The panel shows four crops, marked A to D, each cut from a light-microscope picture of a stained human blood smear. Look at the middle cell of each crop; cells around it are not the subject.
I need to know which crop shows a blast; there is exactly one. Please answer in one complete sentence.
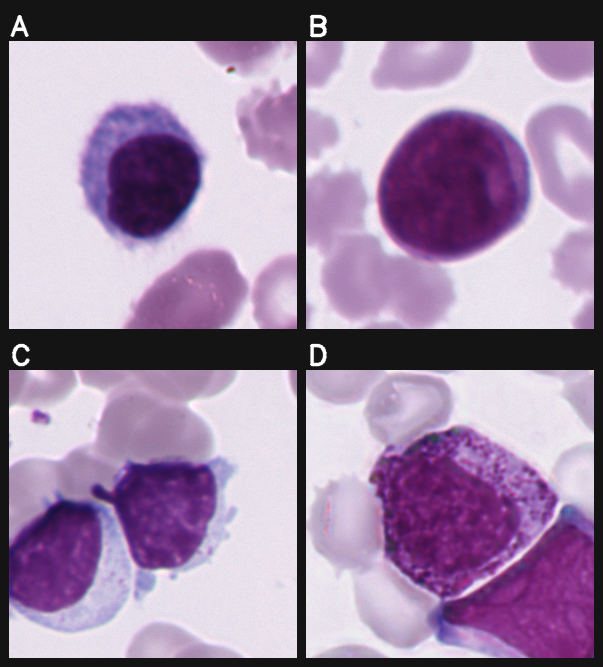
Crop B, and no other, shows a blast.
